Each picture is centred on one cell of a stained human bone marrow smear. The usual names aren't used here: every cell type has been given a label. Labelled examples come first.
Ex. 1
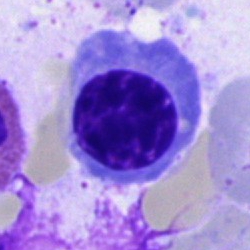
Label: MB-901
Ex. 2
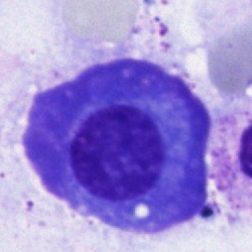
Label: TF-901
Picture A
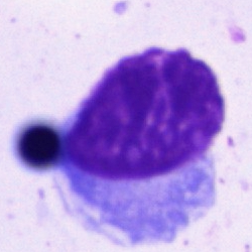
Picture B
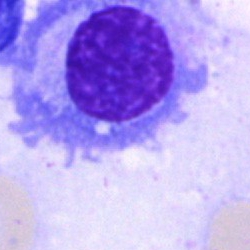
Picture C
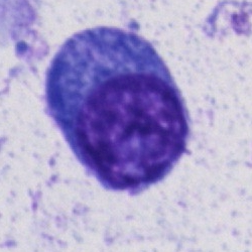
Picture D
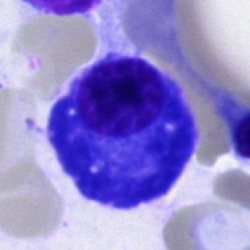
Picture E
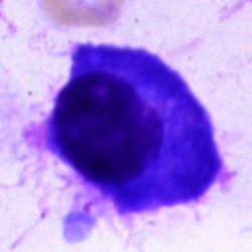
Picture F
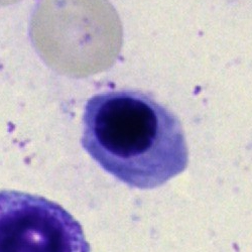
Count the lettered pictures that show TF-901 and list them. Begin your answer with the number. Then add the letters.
5, namely A, B, C, D, E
